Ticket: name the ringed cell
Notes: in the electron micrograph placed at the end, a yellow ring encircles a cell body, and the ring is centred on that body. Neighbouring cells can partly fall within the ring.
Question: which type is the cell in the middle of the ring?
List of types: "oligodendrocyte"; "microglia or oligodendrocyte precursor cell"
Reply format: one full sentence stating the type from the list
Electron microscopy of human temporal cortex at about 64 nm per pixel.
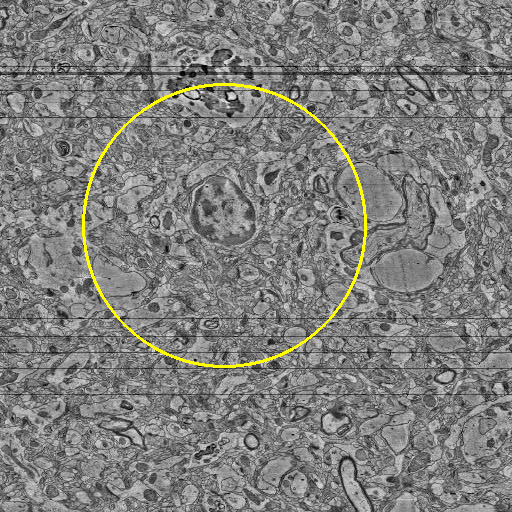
The cell sitting at the centre of the yellow ring is a microglial cell or oligodendrocyte precursor cell.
